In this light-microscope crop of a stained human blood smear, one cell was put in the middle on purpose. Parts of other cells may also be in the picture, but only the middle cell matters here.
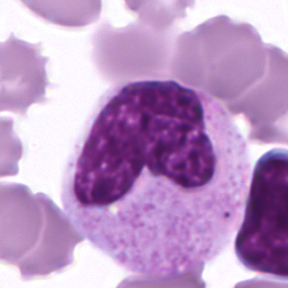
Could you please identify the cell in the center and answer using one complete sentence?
The center cell of this crop is a band neutrophil.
